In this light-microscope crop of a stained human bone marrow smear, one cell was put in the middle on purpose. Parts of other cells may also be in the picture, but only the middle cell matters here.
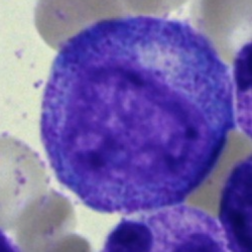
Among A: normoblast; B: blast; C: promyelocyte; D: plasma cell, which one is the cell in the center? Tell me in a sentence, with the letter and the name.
The one cell at the centre is a promyelocyte, as correctly stated in option C.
